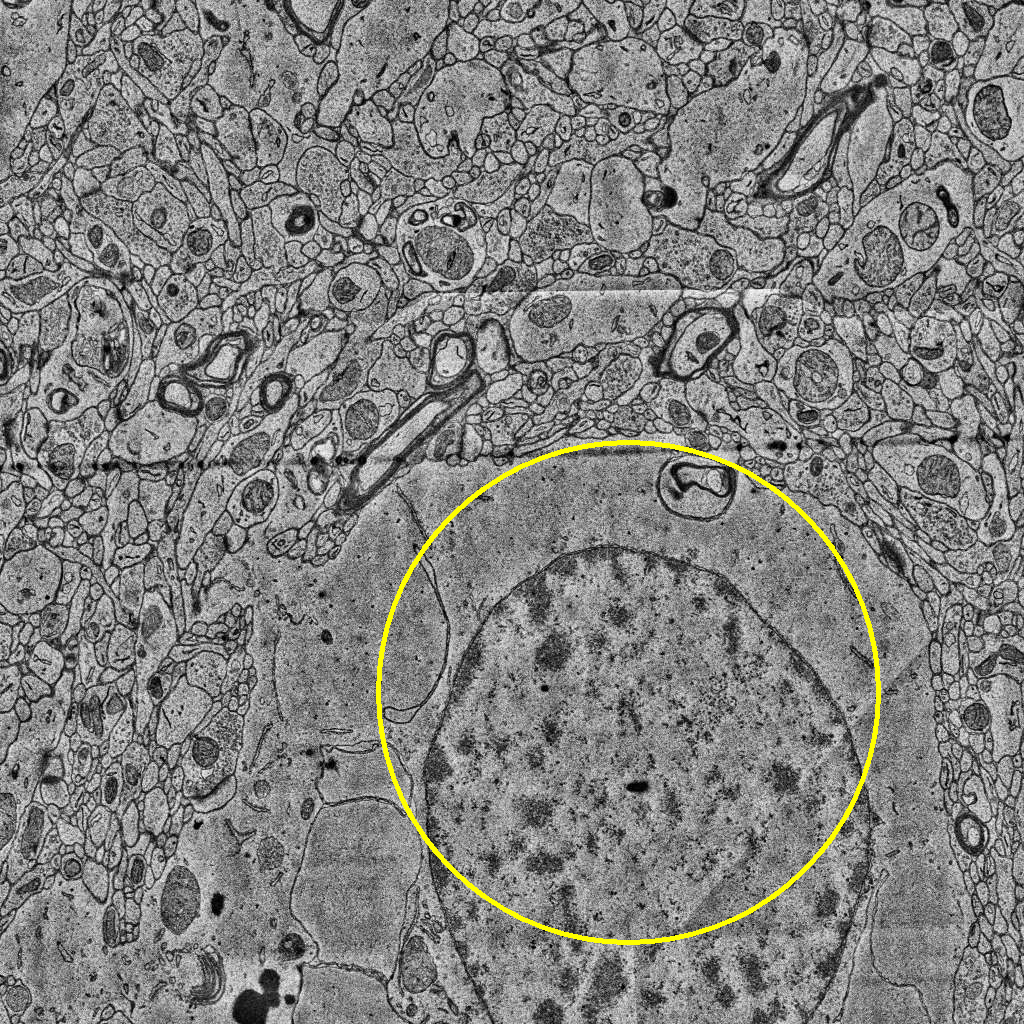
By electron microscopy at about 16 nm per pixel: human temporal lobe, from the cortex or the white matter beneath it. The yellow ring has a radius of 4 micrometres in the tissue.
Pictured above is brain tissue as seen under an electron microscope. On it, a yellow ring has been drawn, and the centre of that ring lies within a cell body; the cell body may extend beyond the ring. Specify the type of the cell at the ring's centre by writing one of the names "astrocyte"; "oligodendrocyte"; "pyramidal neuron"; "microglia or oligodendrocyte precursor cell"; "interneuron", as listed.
astrocyte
